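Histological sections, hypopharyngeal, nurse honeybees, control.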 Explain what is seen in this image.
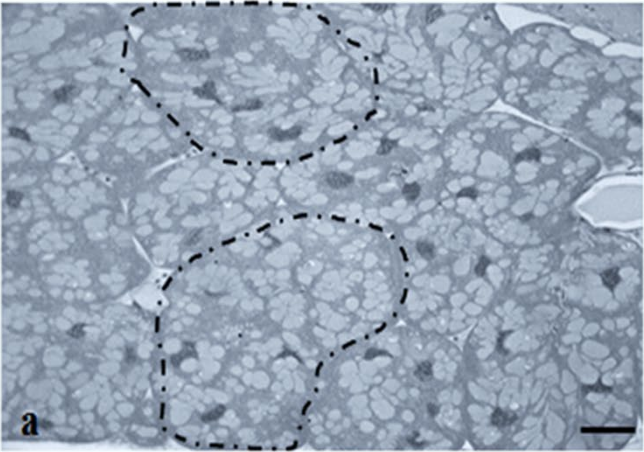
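Gland acini are packed closely together, each a large rounded cluster of cells with little space between neighbouring clusters. Each acinus holds several dark, irregularly shaped nuclei, and its grey cytoplasm is filled with many pale oval inclusions.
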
